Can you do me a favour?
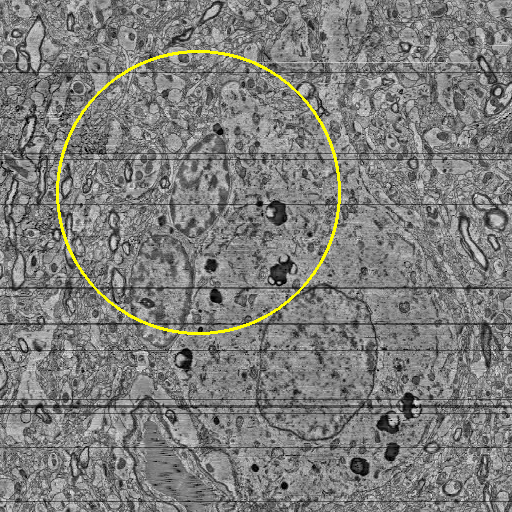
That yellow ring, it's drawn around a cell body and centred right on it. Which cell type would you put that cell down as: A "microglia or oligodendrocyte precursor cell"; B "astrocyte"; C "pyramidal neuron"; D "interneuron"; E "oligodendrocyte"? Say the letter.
A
